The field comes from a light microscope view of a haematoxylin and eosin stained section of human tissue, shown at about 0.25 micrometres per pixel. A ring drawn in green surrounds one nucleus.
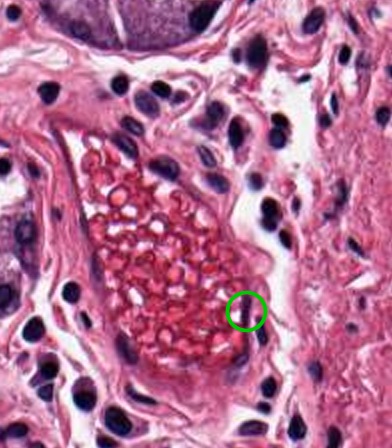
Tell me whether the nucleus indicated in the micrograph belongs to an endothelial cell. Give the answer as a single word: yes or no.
yes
